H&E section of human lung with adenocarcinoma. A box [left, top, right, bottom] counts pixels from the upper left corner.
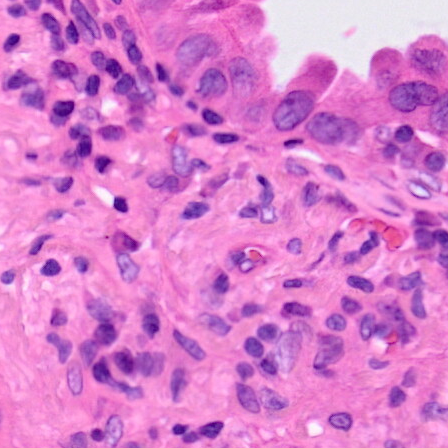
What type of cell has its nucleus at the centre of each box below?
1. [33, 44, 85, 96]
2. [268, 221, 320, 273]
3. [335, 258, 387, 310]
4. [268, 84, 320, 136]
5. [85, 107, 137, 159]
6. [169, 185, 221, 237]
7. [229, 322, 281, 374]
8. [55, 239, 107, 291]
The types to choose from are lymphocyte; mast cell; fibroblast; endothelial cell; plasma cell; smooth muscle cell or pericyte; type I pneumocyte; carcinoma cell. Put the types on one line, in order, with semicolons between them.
plasma cell; mast cell; lymphocyte; carcinoma cell; plasma cell; lymphocyte; lymphocyte; lymphocyte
